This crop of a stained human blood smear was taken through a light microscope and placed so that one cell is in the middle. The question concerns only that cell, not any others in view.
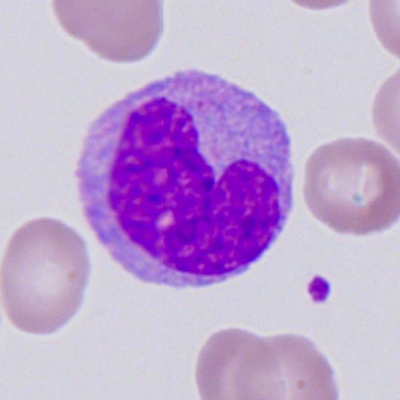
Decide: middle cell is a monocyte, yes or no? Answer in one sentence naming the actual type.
Yes, as for the central cell, it is a monocyte.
